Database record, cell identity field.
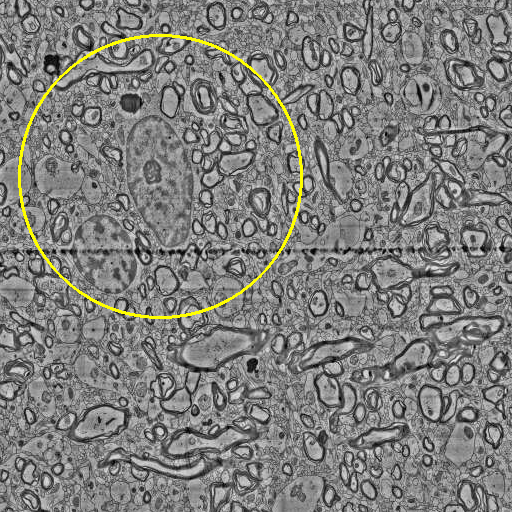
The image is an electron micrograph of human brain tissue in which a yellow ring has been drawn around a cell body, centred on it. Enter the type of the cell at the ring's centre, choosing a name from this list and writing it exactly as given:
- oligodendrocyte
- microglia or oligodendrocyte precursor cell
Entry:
oligodendrocyte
